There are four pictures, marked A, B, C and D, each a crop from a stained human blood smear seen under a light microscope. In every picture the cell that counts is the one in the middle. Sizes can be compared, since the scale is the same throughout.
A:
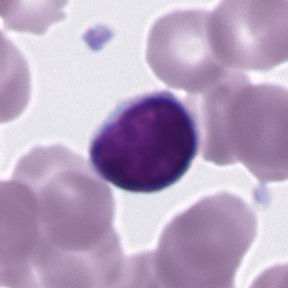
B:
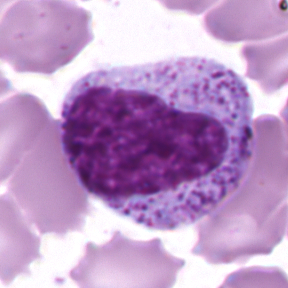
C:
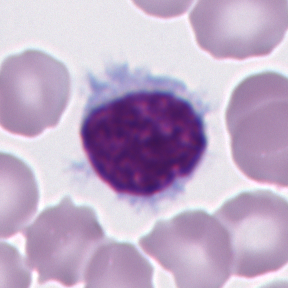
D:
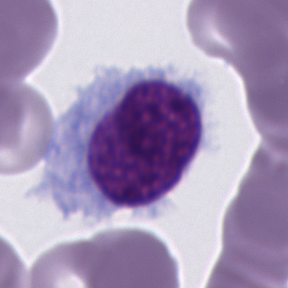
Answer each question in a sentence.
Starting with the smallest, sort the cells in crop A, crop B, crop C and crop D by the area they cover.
From the smallest up, the order is A, C, D, B.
